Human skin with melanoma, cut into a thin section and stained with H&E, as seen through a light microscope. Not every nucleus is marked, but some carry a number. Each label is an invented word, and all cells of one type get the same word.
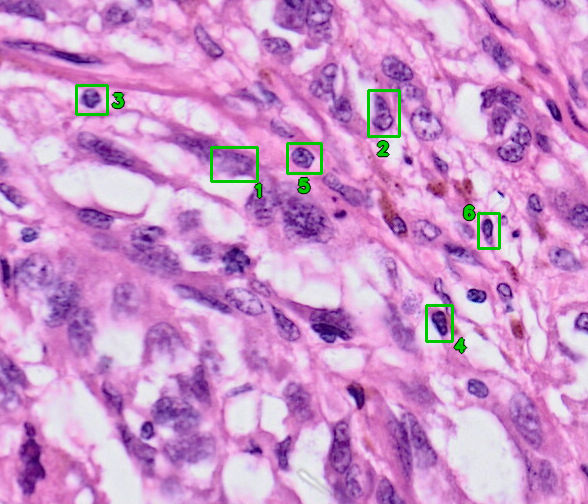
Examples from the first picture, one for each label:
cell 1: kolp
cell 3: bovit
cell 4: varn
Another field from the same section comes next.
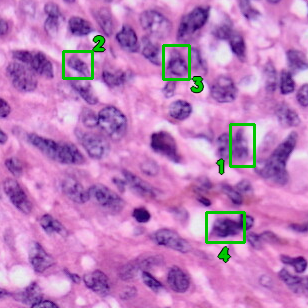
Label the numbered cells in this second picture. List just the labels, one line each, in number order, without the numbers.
kolp
kolp
kolp
varn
